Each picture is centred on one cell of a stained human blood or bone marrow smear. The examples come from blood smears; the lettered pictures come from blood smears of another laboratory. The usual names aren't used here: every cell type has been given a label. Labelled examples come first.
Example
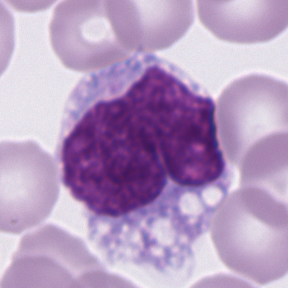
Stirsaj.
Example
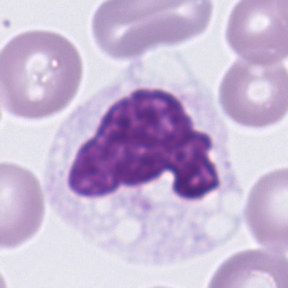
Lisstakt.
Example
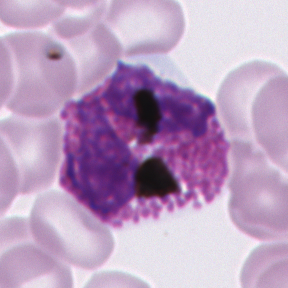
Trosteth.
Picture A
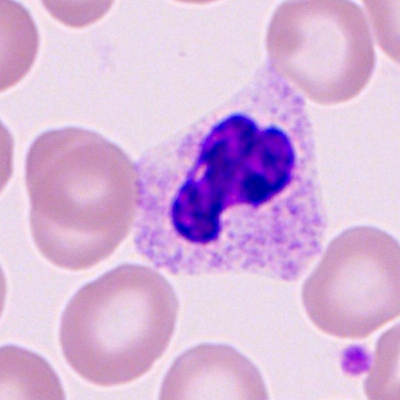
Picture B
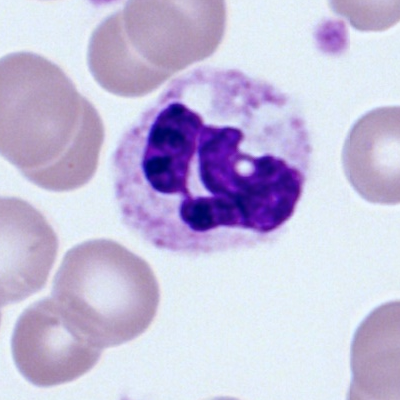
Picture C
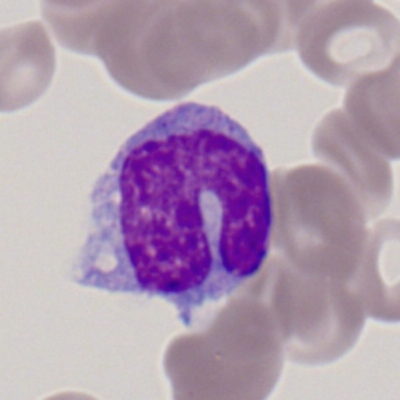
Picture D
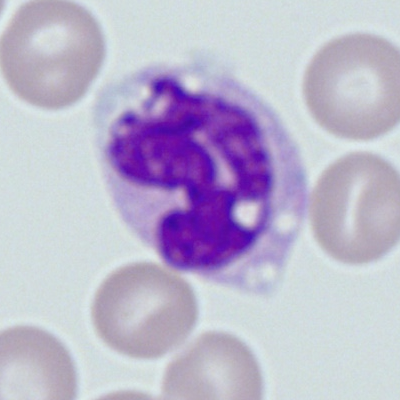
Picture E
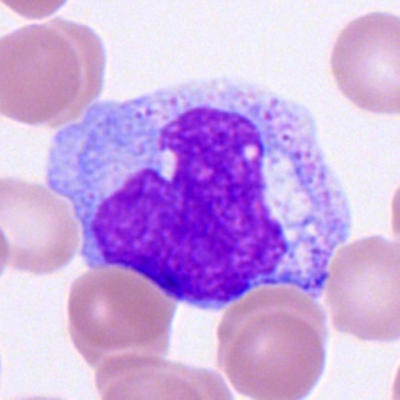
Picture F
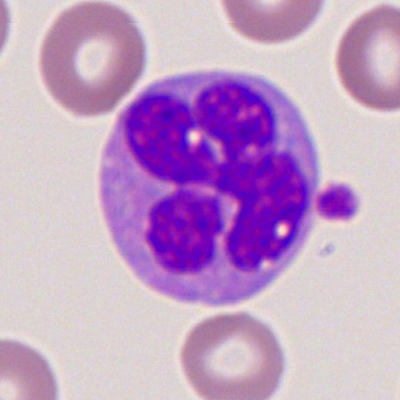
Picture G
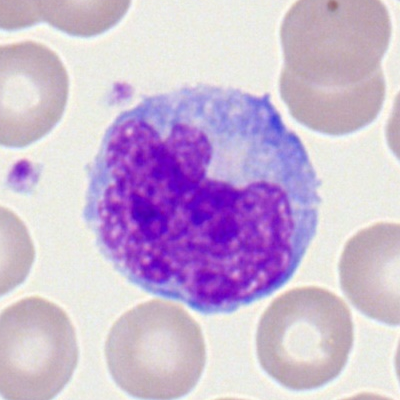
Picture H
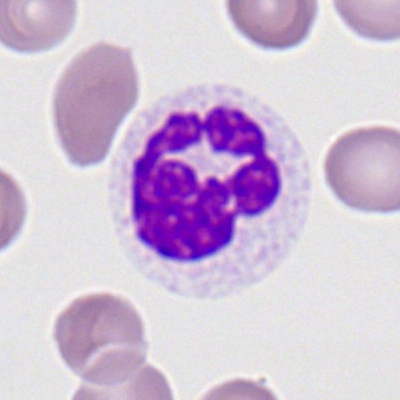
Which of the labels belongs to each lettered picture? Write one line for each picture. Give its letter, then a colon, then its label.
A: Lisstakt.
B: Lisstakt.
C: Stirsaj.
D: Stirsaj.
E: Stirsaj.
F: Stirsaj.
G: Stirsaj.
H: Lisstakt.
